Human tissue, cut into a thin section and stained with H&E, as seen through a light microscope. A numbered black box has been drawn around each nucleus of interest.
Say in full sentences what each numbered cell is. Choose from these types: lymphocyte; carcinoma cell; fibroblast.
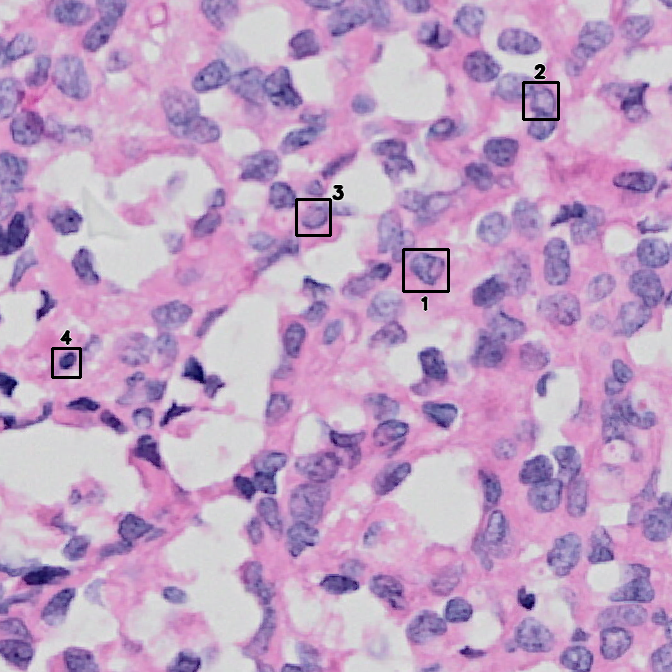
Cell 1 is a carcinoma cell, cell 2 is a carcinoma cell, cell 3 is a carcinoma cell and cell 4 is a lymphocyte.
